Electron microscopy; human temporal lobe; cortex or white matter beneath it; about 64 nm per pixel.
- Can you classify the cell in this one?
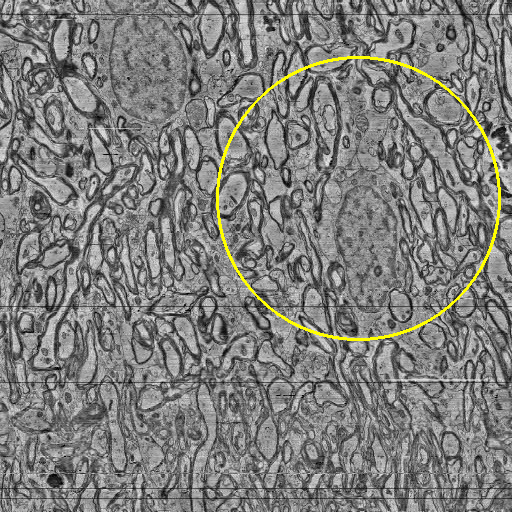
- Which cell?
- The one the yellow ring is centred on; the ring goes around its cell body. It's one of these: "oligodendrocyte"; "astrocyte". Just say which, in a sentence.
The cell body in the ring belongs to an oligodendrocyte.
